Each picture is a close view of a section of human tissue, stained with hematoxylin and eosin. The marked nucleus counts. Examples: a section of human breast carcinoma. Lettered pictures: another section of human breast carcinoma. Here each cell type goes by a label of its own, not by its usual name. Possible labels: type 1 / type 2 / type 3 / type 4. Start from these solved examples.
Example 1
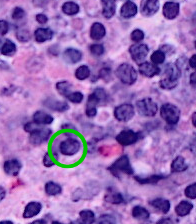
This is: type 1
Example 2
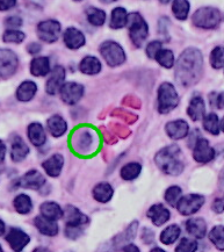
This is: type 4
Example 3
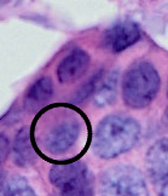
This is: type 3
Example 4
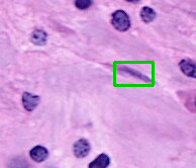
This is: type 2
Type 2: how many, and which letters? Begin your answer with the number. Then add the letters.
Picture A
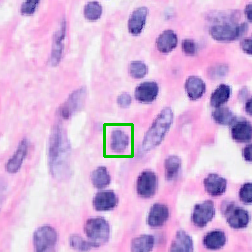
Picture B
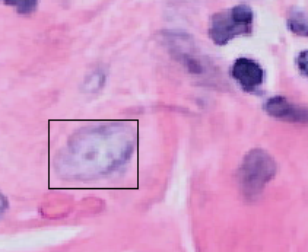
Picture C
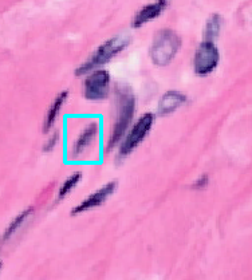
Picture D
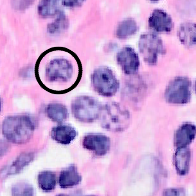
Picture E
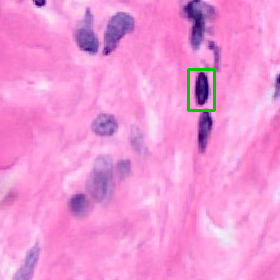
0, none of them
